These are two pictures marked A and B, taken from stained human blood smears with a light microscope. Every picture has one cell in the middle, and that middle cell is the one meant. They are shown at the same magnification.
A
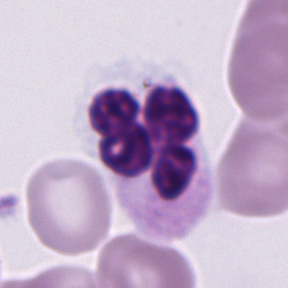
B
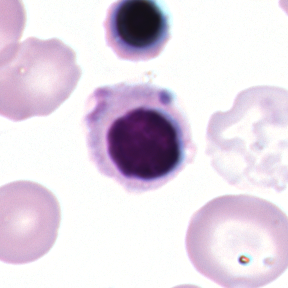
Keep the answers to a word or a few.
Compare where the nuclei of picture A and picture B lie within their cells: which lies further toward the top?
A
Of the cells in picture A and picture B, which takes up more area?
A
